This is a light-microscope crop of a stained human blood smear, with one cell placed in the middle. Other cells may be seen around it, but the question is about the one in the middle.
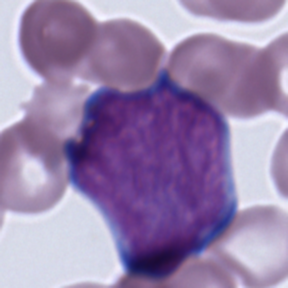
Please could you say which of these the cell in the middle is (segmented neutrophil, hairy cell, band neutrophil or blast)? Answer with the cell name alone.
blast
